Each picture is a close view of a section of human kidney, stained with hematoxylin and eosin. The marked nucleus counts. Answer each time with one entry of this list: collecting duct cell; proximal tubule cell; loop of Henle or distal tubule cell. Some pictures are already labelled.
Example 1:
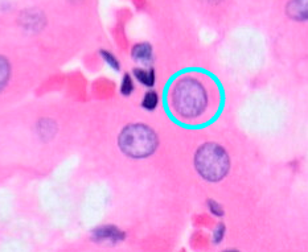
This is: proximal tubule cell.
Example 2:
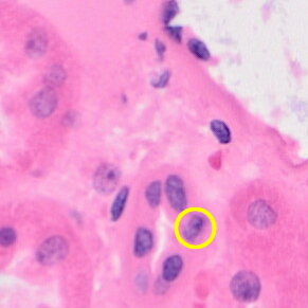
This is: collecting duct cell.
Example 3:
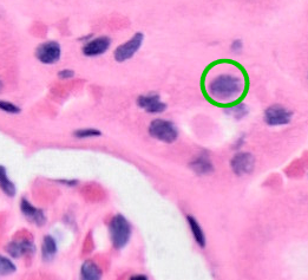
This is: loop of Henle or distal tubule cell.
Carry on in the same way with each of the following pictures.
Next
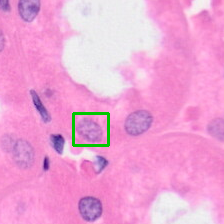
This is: proximal tubule cell.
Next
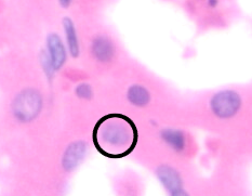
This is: loop of Henle or distal tubule cell.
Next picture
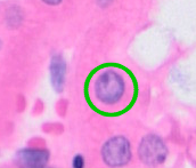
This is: proximal tubule cell.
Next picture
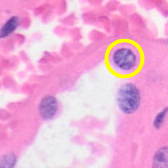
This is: loop of Henle or distal tubule cell.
